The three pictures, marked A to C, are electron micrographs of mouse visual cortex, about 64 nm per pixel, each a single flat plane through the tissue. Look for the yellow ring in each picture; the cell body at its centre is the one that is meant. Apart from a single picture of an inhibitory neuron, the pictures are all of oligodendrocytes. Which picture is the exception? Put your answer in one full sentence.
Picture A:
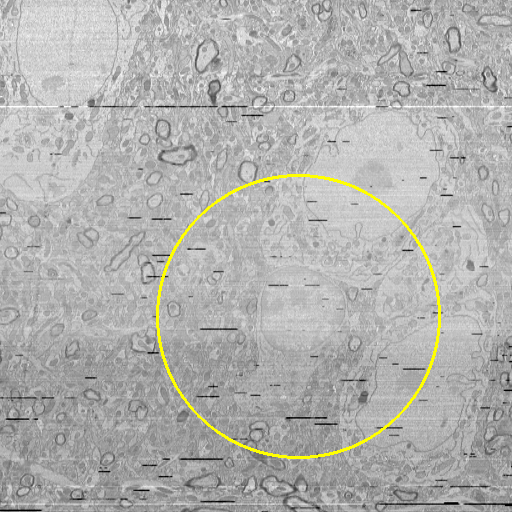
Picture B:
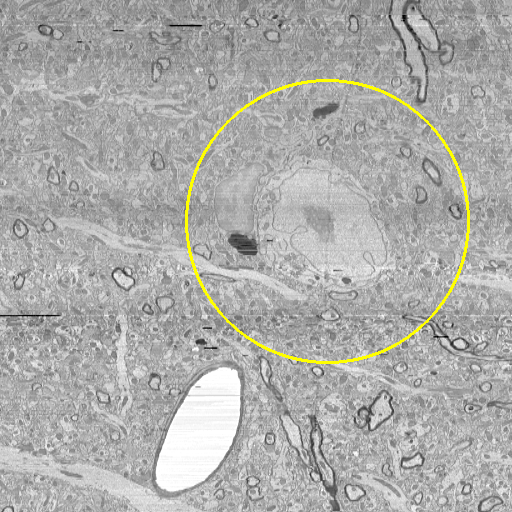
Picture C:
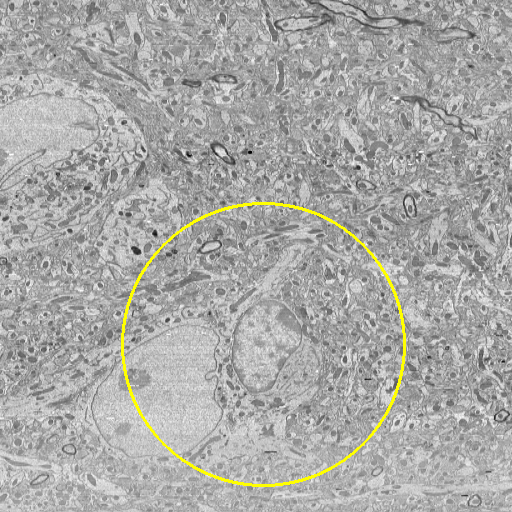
The cell in picture B is the inhibitory neuron.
